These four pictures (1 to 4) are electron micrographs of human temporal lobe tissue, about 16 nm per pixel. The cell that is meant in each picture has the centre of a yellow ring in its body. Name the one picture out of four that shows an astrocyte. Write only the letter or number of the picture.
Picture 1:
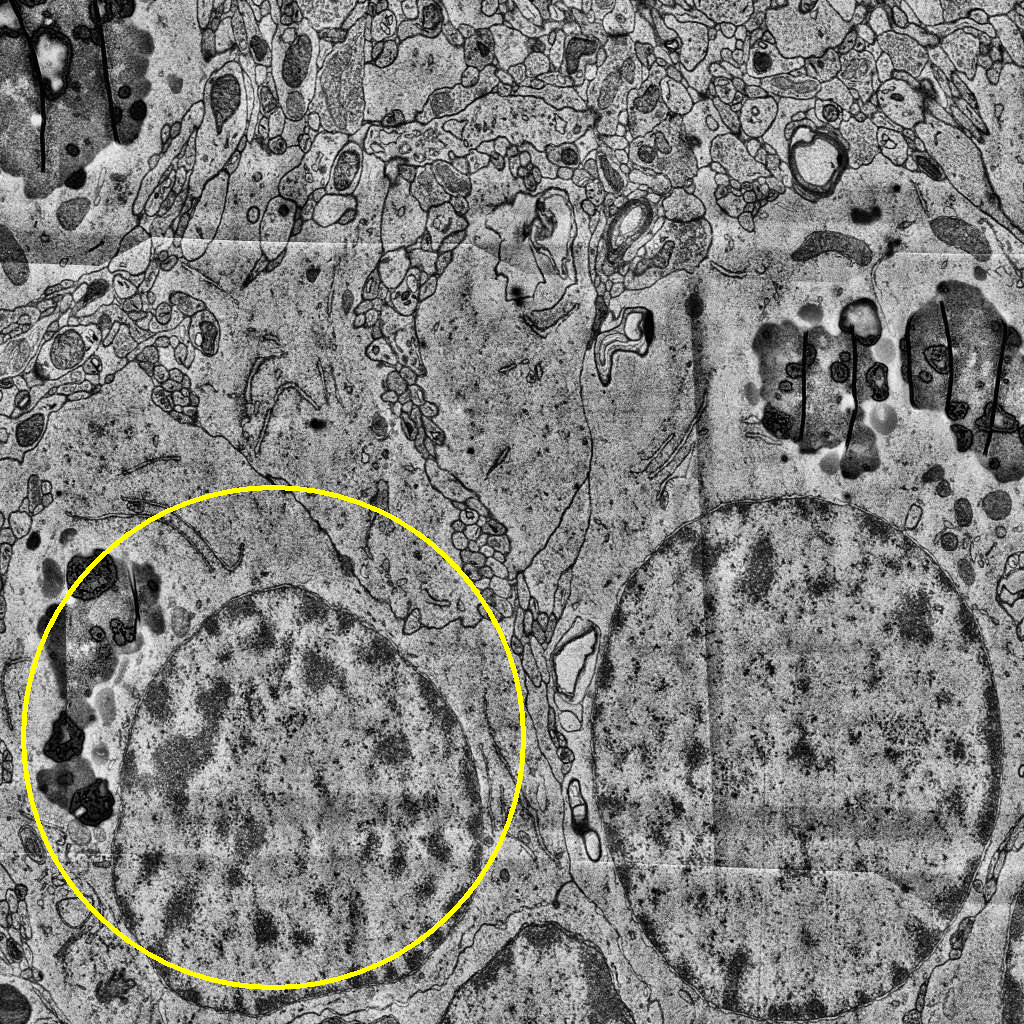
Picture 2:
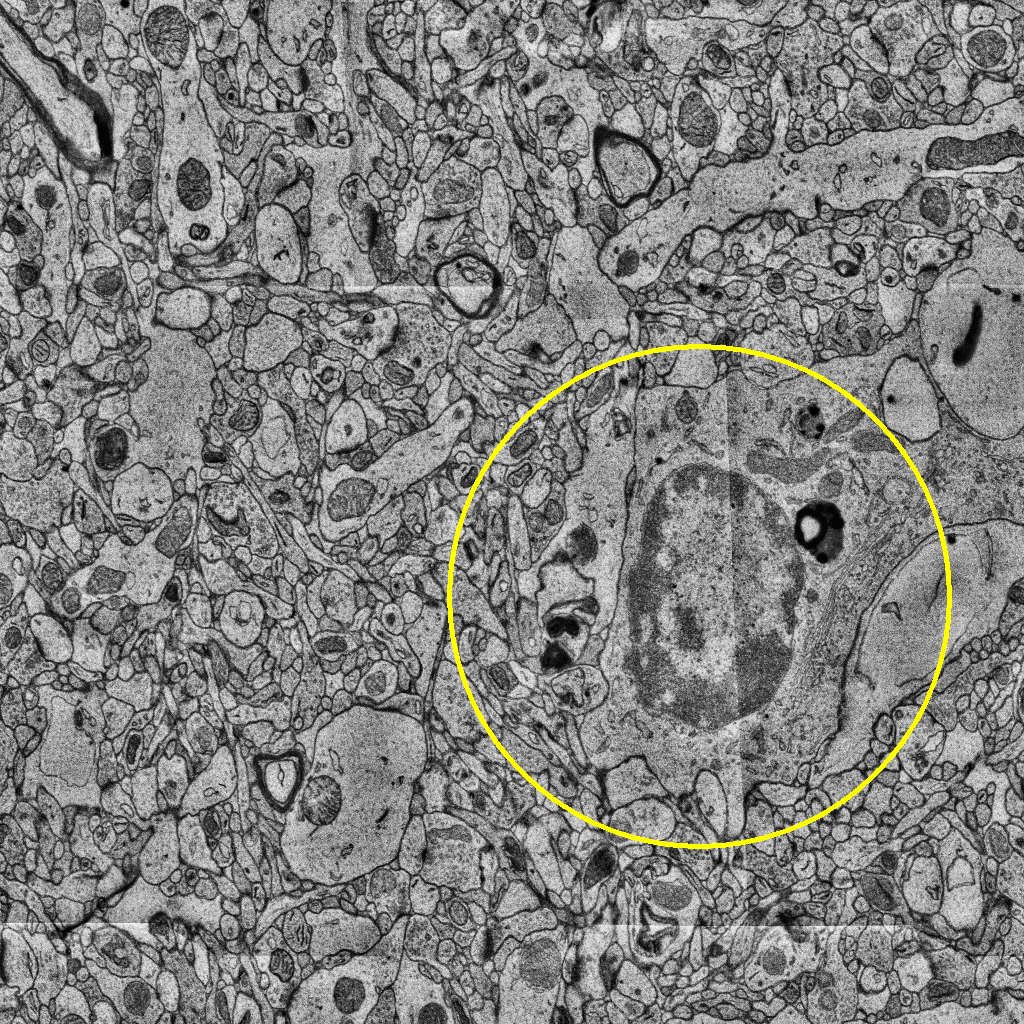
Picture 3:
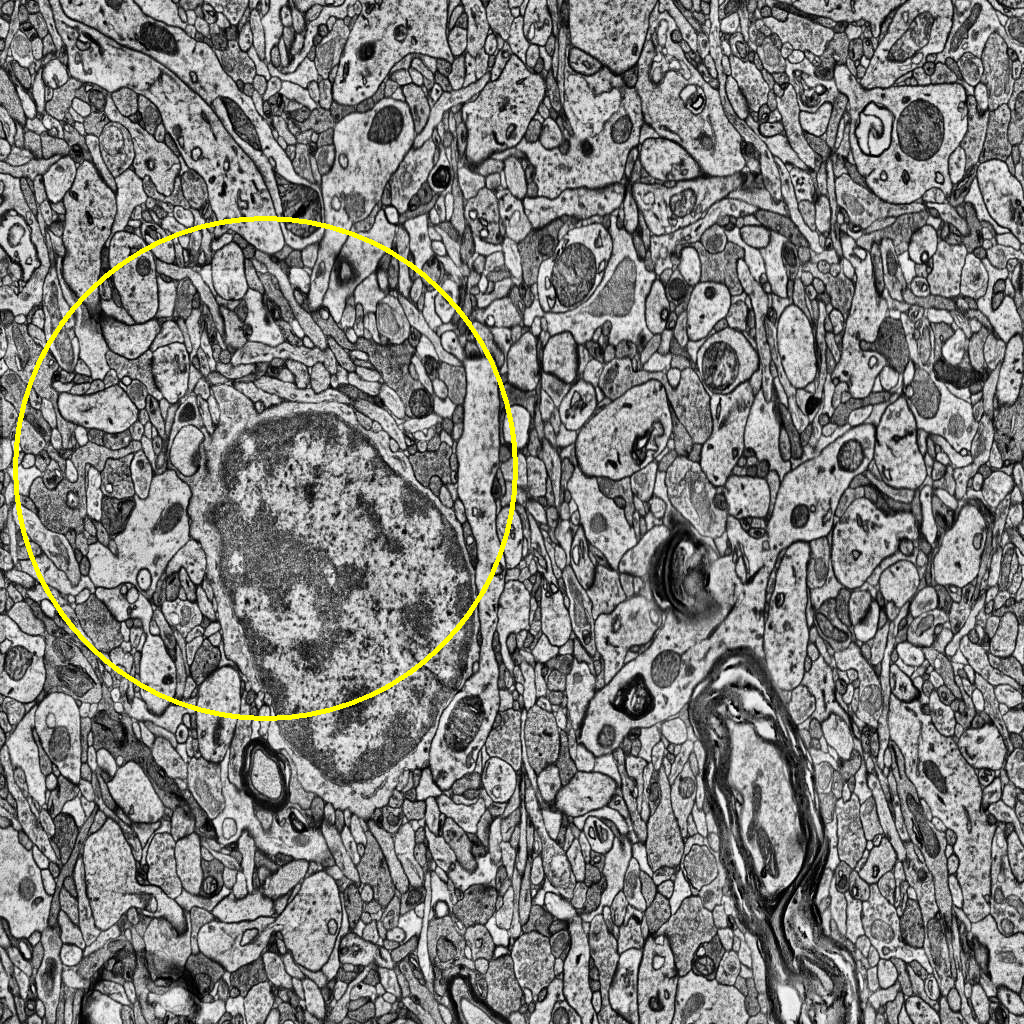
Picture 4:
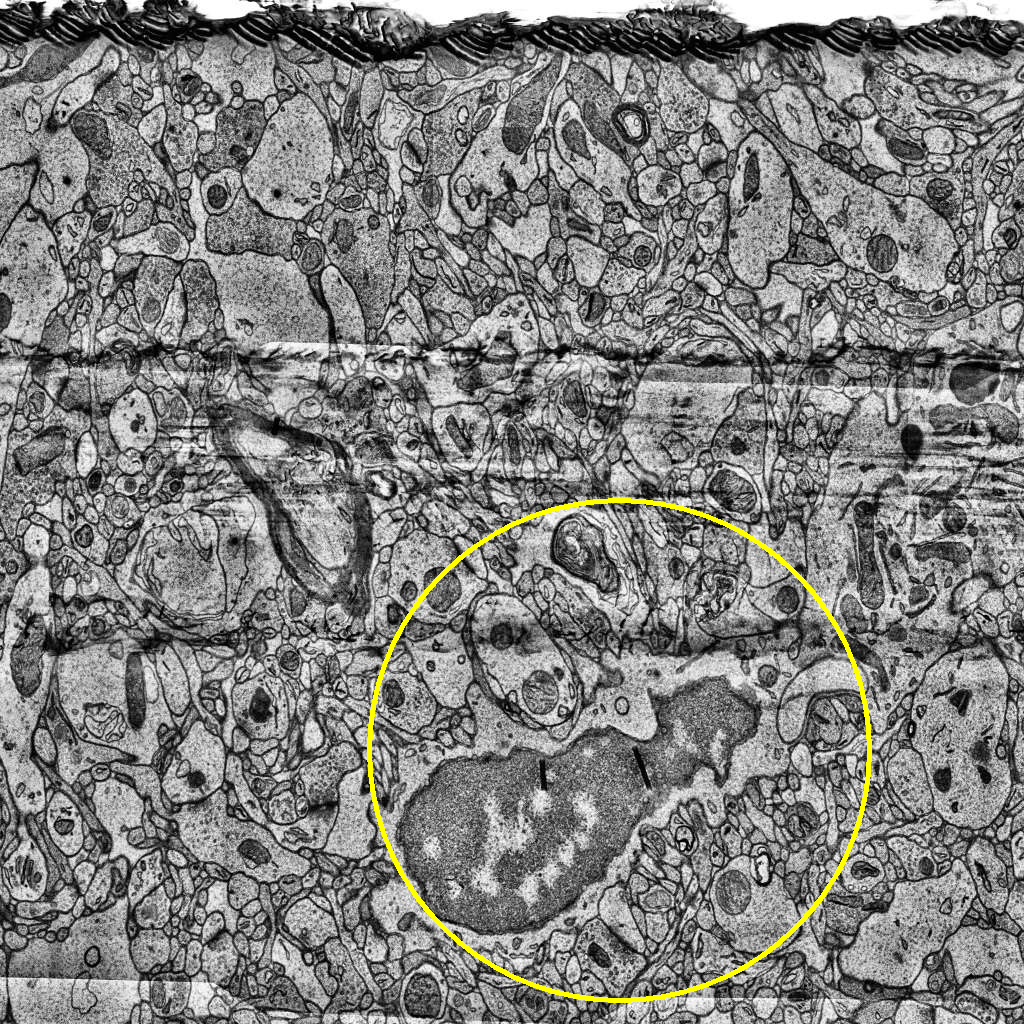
1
